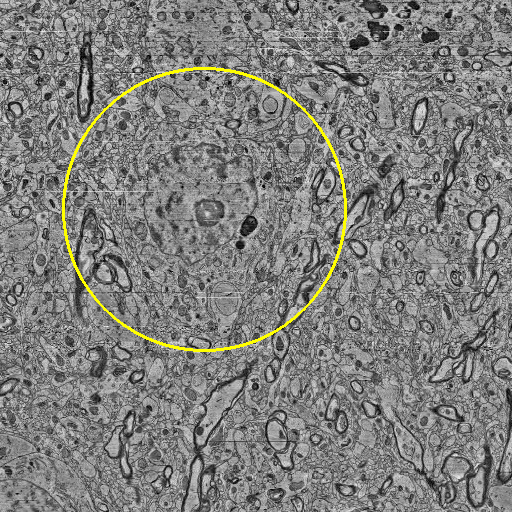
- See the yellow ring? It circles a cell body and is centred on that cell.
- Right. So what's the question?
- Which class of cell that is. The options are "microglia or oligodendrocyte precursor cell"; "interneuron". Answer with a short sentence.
The centre of the ring holds an interneuron.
